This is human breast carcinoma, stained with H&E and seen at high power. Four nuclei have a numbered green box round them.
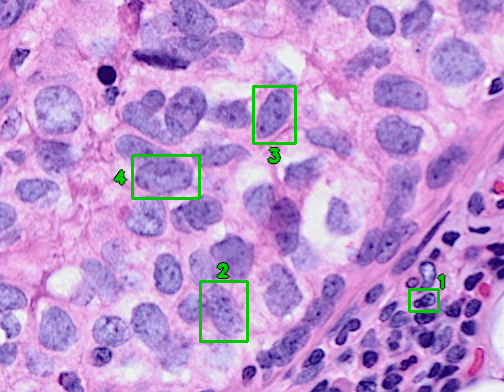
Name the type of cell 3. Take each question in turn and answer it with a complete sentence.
The nucleus labeled 3 belongs to a carcinoma cell.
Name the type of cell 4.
The one labeled 4 is a carcinoma cell, to put it simply.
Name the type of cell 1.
The cell that bears the number 1 is a lymphocyte.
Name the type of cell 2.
Corresponding to a carcinoma cell is the cell labelled 2.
